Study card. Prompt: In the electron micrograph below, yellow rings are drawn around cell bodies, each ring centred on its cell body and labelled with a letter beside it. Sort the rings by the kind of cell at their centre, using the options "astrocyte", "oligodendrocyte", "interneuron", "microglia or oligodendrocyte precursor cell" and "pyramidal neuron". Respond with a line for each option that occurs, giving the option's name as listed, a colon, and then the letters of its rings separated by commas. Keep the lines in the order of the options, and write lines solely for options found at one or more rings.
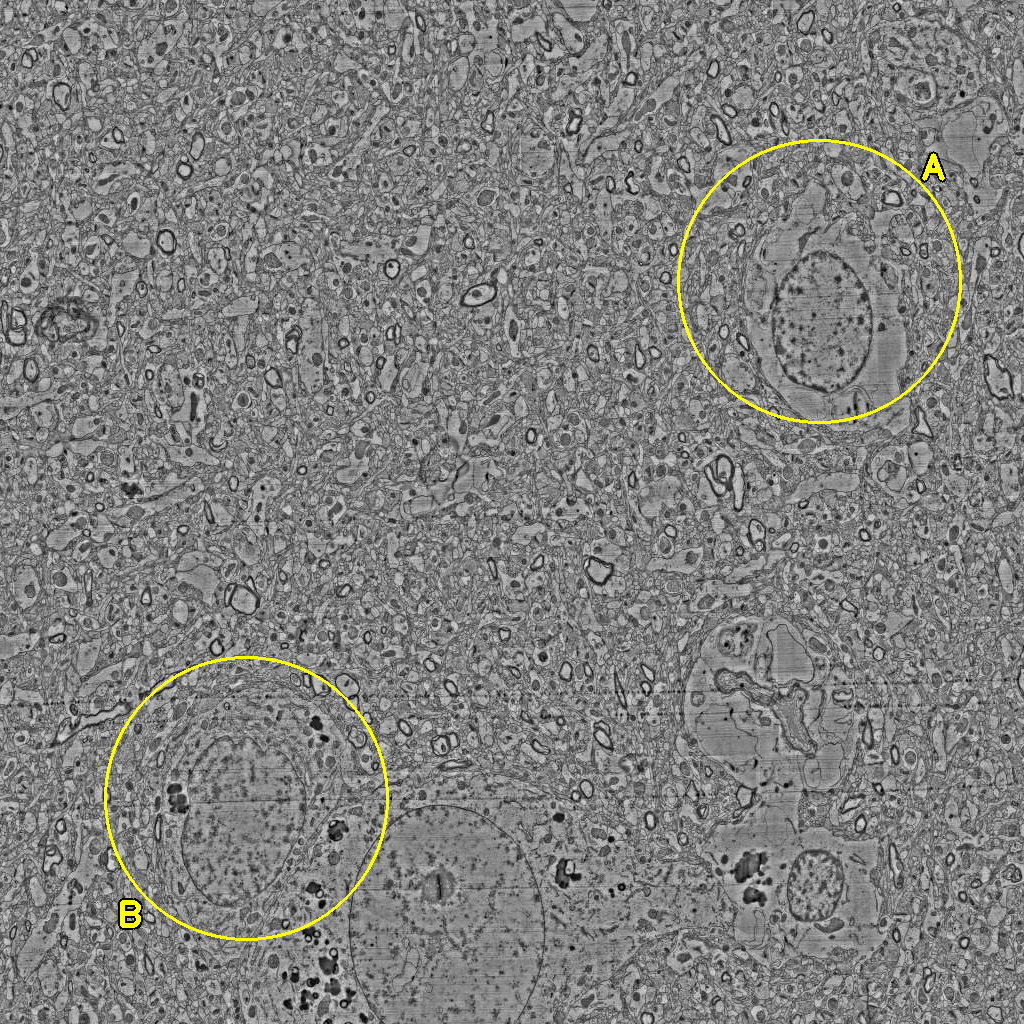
astrocyte: A
interneuron: B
